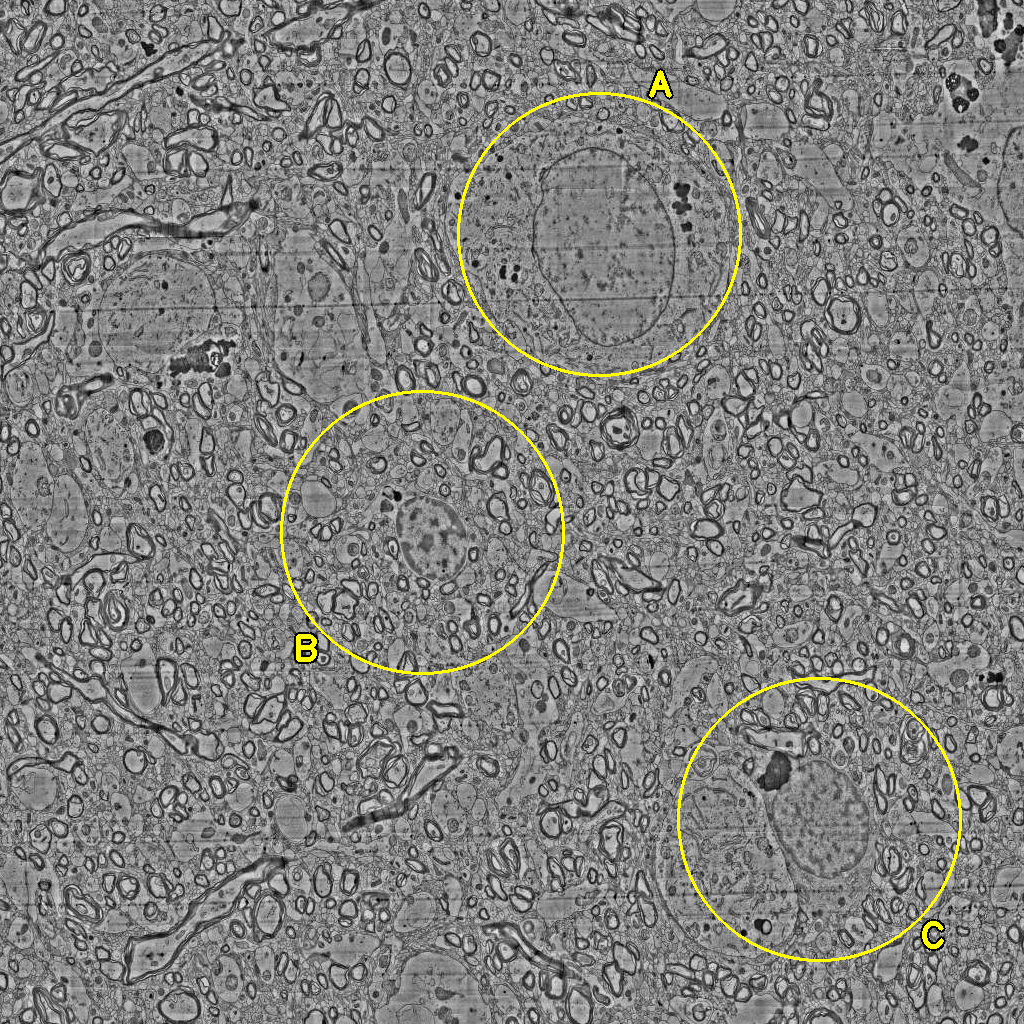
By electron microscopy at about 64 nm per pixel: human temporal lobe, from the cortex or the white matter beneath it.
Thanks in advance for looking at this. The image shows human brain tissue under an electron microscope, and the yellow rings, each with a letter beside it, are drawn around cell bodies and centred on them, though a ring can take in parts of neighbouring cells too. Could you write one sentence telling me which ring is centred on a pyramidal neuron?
Ring A is centred on it.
